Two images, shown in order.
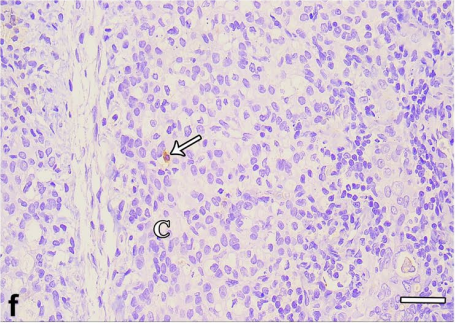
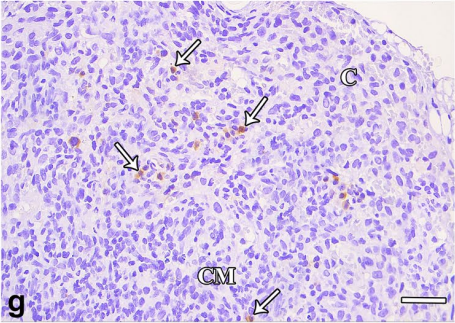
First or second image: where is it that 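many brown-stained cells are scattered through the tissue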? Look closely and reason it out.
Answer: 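The second image. Second image: several brown-stained cells, some in small groups, scattered across the field. First image: a single brown-stained cell in the field.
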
